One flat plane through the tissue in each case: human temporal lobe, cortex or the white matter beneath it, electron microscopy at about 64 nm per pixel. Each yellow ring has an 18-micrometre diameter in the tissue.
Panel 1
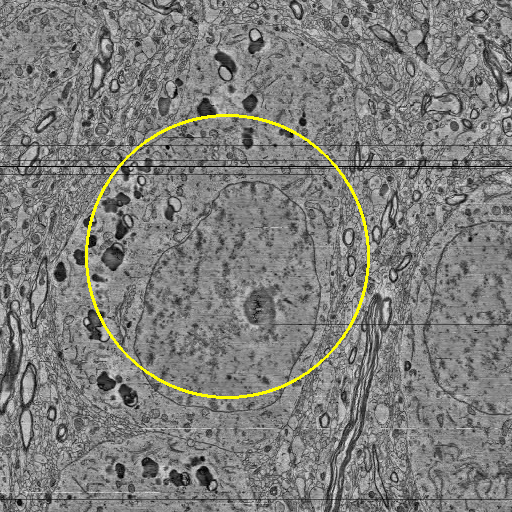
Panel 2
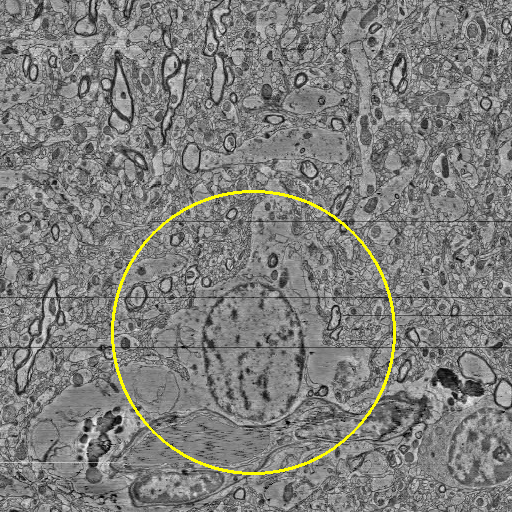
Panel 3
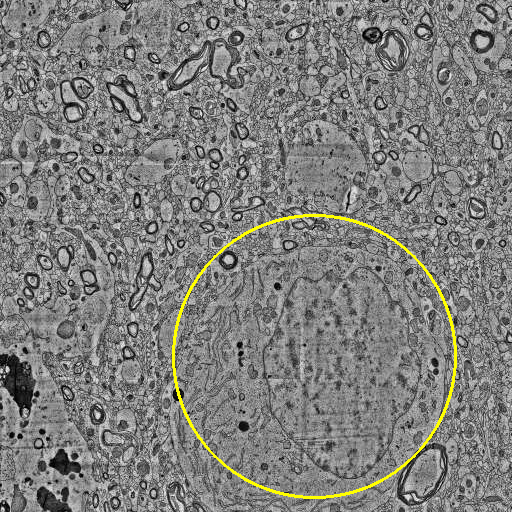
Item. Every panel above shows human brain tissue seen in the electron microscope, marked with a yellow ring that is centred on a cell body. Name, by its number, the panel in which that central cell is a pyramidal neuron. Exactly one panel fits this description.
1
